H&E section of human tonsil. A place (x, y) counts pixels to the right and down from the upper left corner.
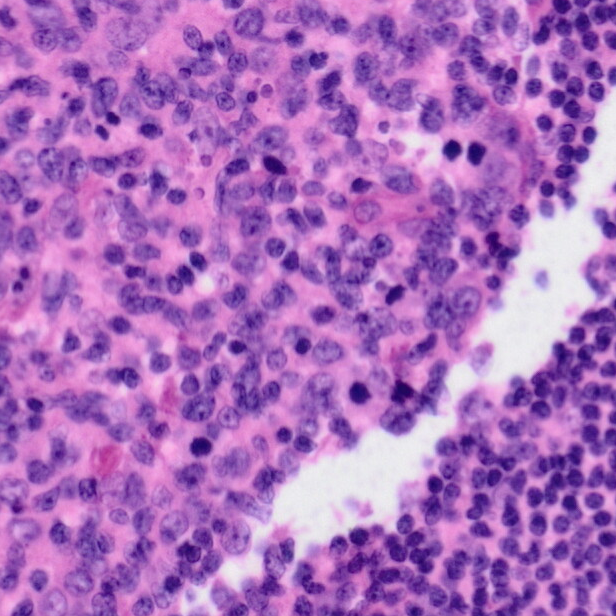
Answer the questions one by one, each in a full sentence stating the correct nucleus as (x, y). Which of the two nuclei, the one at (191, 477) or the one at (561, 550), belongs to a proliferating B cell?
The nucleus whose cell is a proliferating B cell is the one at (191, 477).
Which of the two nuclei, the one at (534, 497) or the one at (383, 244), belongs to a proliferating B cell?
Of the two nuclei, that at (383, 244) is the nucleus of a proliferating B cell.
